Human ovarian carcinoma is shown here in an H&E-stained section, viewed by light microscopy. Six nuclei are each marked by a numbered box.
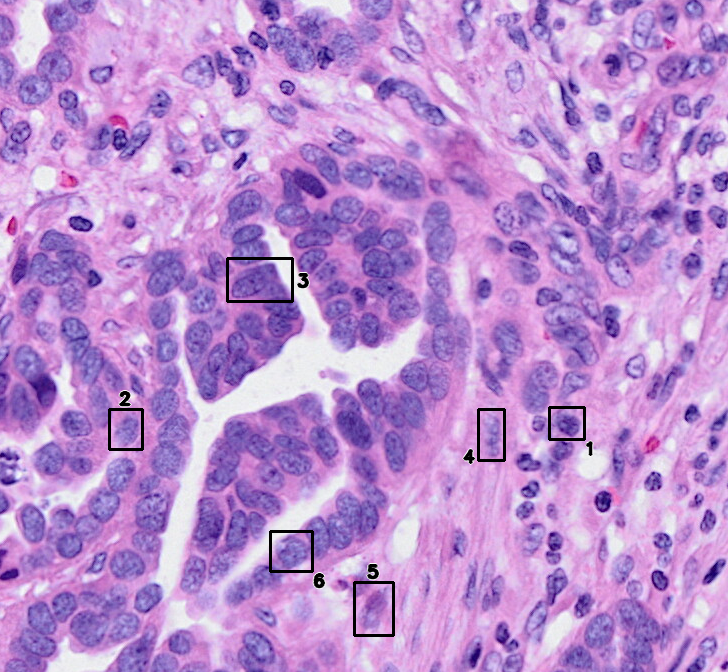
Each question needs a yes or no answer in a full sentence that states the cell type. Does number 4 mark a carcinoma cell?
No, the cell labelled number 4 is not a carcinoma cell; it is a fibroblast.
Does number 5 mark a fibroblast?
Yes, the marked cell with number 5 is a fibroblast.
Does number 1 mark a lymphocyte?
Yes, the cell that is numbered 1 is a lymphocyte.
